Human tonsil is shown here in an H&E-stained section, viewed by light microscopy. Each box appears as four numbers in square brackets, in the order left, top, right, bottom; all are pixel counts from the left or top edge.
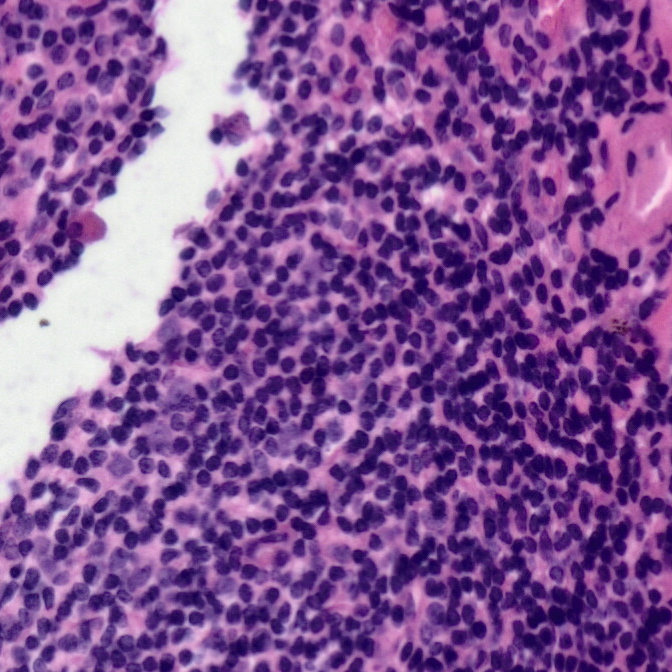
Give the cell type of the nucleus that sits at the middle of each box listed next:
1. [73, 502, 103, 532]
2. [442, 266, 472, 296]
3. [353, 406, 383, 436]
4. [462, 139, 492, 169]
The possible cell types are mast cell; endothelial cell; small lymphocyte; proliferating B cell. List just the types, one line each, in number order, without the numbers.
small lymphocyte
small lymphocyte
small lymphocyte
endothelial cell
